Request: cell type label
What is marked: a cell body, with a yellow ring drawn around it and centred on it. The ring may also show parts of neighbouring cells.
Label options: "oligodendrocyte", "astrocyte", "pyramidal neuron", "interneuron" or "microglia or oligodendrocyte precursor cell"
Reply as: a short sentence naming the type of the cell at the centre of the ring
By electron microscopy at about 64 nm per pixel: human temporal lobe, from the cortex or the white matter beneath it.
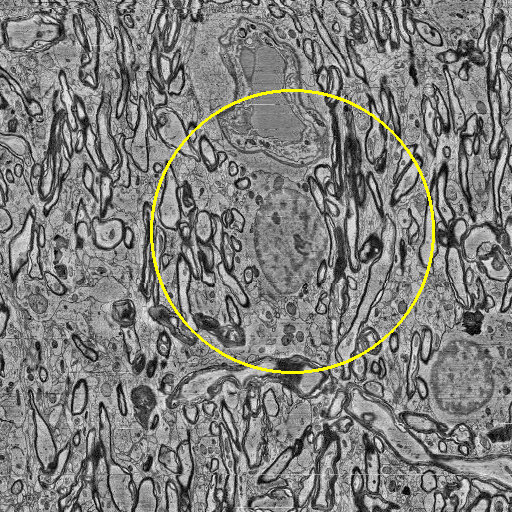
The marked cell body is that of an oligodendrocyte.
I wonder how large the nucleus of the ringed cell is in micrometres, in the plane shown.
Approximately 7 micrometres long and 5 micrometres wide, in this plane.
